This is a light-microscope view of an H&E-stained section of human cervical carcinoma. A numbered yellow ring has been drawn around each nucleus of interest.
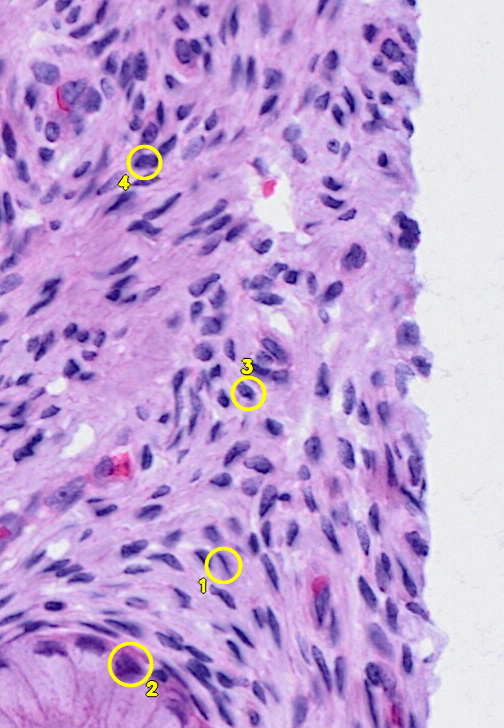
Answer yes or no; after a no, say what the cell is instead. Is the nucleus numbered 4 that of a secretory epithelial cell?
No, it is a fibroblast.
